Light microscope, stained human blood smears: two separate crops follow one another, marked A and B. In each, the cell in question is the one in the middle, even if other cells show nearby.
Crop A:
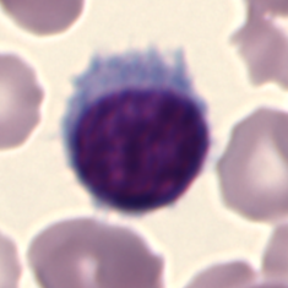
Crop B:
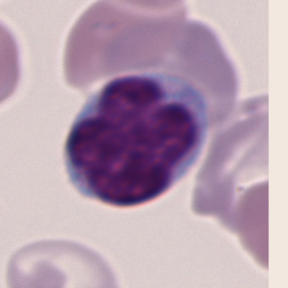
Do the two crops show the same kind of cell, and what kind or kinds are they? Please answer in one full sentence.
No, crop A has a hairy cell in the middle, and crop B has a typical lymphocyte.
